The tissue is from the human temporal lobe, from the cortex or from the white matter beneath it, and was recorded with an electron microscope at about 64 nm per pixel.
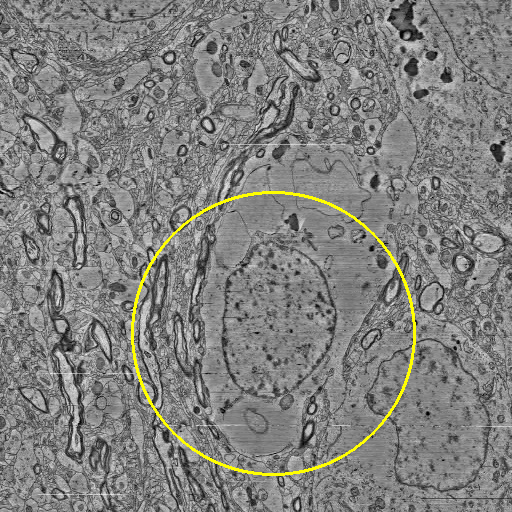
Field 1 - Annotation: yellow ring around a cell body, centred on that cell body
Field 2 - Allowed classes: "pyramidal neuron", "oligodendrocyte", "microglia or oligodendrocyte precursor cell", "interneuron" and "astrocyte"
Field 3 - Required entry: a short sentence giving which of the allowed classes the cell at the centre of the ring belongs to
The centred cell is an astrocyte.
